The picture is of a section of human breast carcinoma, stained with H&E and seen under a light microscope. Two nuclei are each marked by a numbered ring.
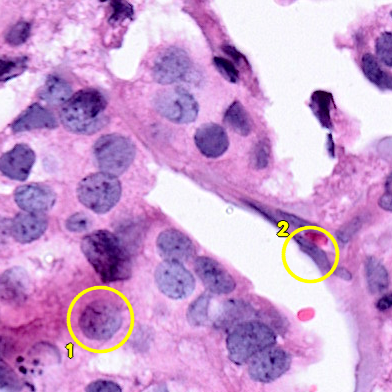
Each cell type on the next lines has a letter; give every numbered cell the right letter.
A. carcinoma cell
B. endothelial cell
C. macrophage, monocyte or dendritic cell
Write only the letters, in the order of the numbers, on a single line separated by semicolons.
A; B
